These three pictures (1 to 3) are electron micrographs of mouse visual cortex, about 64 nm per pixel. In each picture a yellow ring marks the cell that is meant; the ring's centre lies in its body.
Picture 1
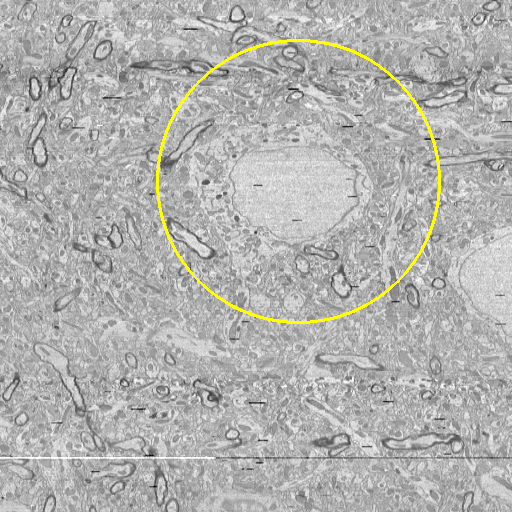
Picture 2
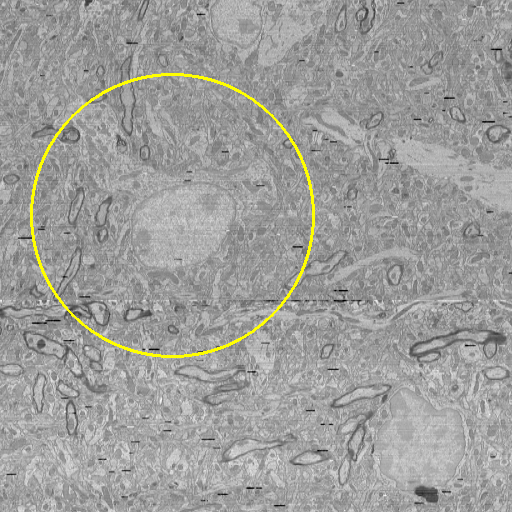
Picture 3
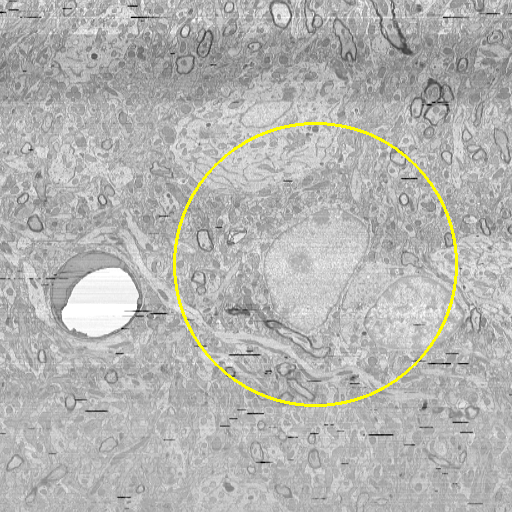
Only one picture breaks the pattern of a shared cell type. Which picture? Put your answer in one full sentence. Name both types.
The different one is picture 1; it shows an inhibitory neuron, whereas all the others show astrocytes.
